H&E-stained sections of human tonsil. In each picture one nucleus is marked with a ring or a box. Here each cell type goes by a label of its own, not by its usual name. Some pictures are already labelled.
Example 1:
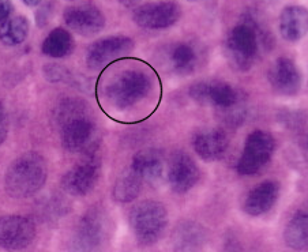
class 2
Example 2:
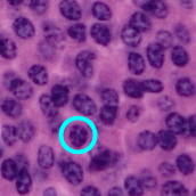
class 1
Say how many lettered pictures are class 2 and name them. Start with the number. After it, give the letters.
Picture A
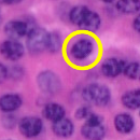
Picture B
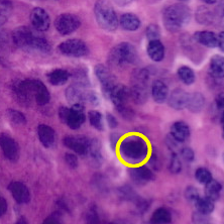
1: B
